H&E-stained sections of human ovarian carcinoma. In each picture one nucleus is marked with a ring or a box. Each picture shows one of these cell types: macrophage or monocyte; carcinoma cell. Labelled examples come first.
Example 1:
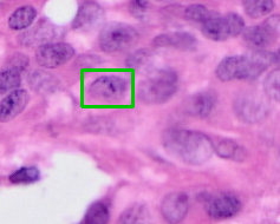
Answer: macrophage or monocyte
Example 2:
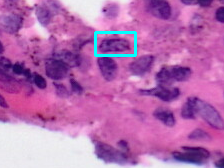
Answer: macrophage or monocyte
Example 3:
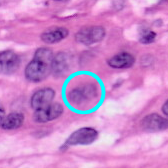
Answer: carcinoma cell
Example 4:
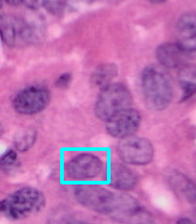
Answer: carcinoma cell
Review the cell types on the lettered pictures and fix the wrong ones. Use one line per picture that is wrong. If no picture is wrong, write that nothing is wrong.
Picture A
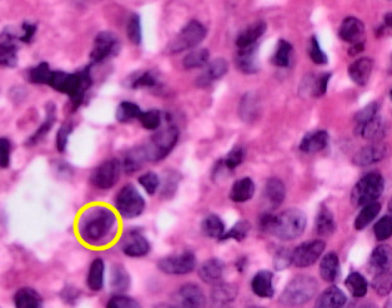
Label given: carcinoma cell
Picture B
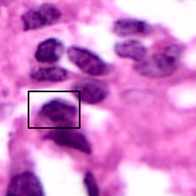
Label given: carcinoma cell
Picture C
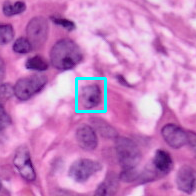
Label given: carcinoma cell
Wrong: C (carcinoma cell); correct: macrophage or monocyte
